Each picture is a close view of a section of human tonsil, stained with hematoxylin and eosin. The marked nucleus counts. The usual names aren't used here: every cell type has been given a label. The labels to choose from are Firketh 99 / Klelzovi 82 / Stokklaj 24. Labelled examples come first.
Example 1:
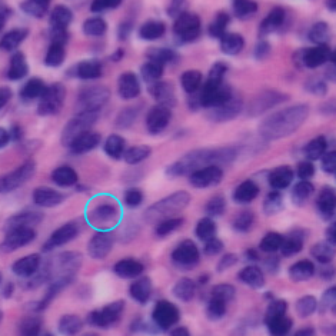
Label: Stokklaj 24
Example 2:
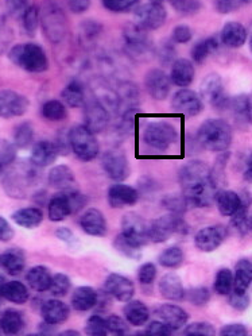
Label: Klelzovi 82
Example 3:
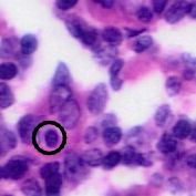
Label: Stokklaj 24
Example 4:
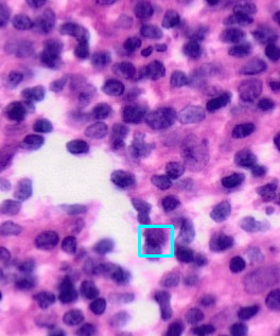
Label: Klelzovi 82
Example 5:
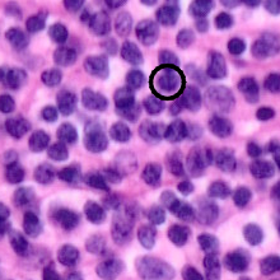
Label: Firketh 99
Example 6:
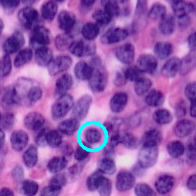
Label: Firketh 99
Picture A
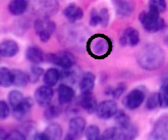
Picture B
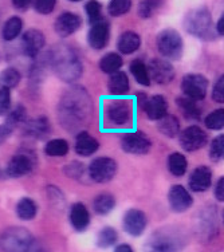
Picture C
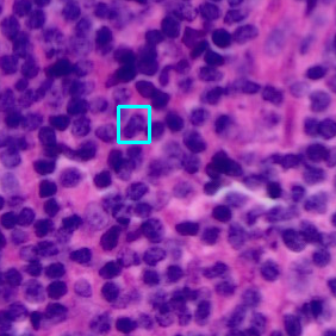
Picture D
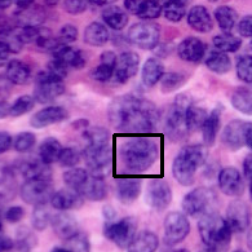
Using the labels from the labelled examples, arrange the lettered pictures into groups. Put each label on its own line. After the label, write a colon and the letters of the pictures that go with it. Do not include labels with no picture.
Firketh 99: C
Klelzovi 82: D
Stokklaj 24: A, B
